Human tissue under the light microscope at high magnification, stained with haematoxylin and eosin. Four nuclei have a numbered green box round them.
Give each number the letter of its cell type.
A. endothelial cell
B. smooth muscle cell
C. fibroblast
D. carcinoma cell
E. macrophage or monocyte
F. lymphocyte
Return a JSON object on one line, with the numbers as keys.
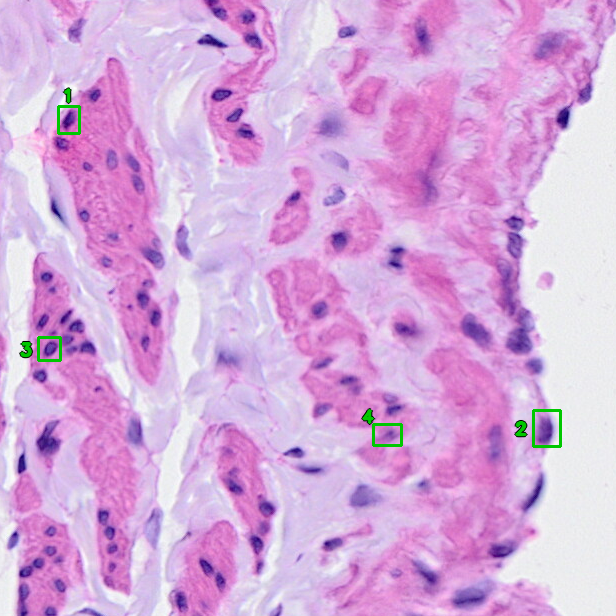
{"1": "B", "2": "A", "3": "B", "4": "B"}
